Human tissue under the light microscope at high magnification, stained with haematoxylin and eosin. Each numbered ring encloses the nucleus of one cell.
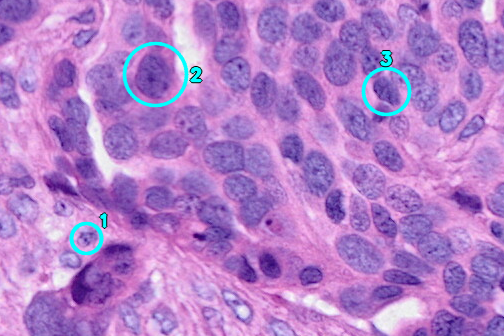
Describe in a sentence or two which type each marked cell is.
Cell 1 is a macrophage or monocyte. Cells 2 and 3 are carcinoma cells.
